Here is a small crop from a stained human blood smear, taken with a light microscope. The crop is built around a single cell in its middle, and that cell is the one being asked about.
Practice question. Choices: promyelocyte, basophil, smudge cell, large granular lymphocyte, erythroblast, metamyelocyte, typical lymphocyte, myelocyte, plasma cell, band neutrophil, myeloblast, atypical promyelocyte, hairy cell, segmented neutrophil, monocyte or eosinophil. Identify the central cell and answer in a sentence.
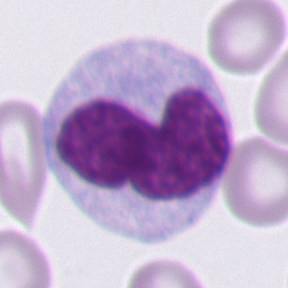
In the center of this field lies a monocyte.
